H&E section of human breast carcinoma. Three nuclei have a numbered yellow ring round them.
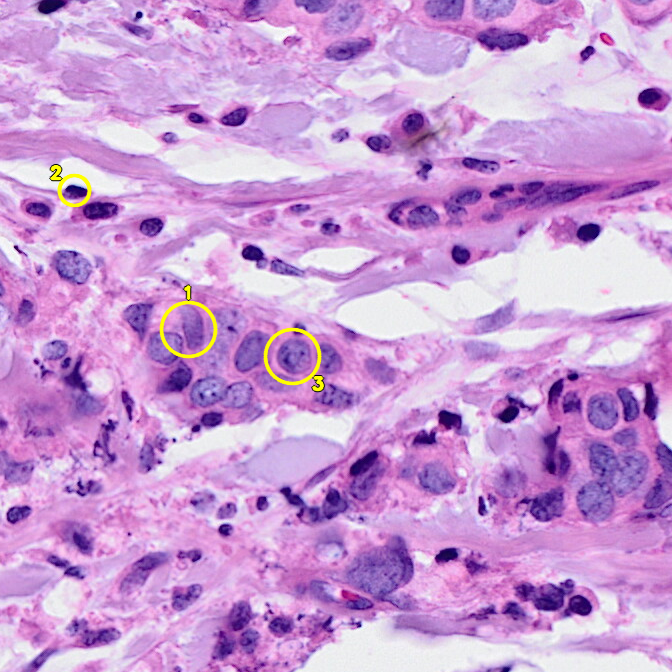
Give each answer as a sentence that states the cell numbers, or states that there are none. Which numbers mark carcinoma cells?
Cells 1 and 3 are classified as carcinoma cells.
